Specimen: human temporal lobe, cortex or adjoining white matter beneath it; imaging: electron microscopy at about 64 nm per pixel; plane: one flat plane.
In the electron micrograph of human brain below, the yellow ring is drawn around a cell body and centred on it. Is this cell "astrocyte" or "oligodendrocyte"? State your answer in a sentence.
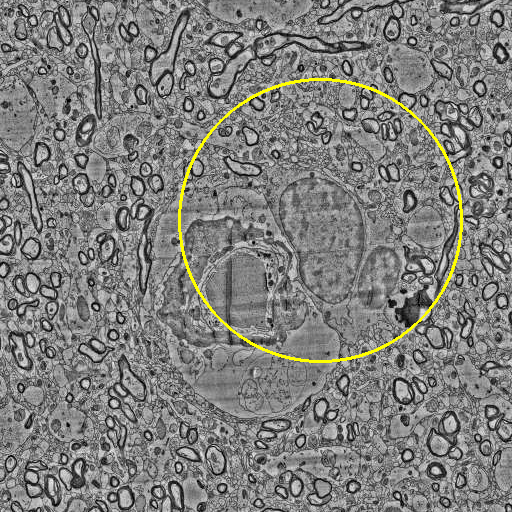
The cell in the middle of the ring is an oligodendrocyte.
